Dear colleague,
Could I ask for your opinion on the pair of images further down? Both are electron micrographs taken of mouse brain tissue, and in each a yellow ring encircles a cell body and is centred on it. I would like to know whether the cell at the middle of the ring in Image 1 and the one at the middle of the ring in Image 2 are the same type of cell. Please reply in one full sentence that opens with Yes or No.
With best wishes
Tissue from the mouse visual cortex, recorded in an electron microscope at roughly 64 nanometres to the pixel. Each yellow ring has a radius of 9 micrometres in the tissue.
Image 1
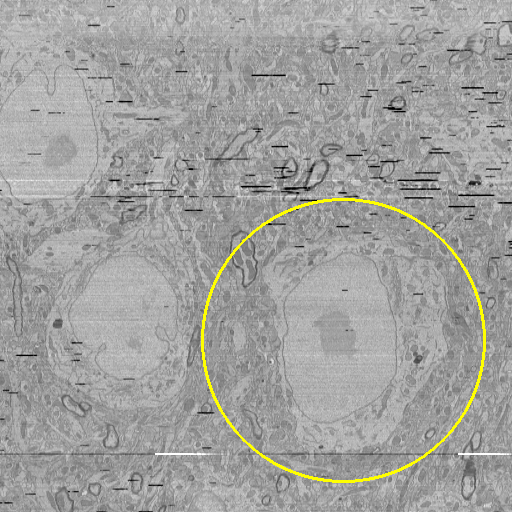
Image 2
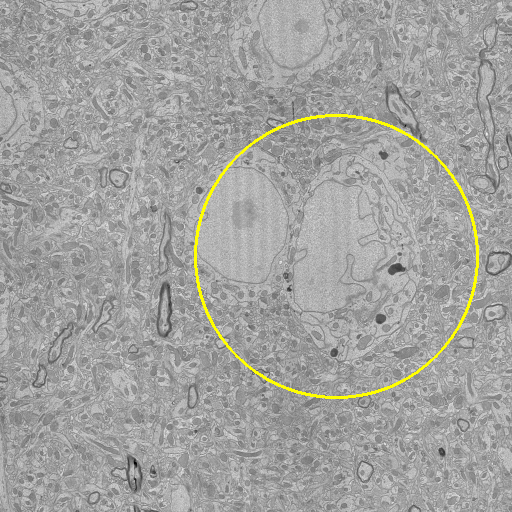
No, the cells at the ring centres in Image 1 and Image 2 are of two types.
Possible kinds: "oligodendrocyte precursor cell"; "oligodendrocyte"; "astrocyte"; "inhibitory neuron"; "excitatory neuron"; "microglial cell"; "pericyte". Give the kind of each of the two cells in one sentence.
The cell in the second picture is an inhibitory neuron, and that in the first is an excitatory neuron.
